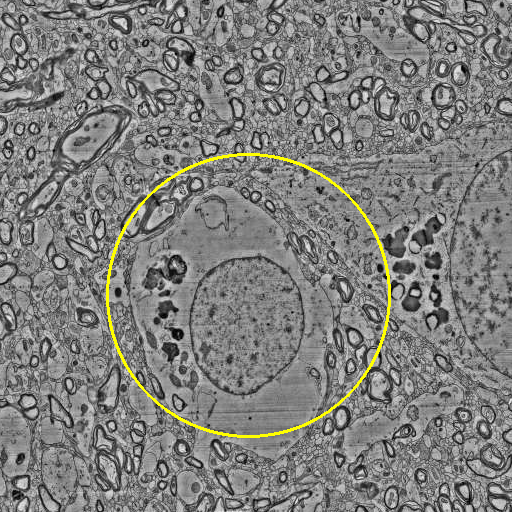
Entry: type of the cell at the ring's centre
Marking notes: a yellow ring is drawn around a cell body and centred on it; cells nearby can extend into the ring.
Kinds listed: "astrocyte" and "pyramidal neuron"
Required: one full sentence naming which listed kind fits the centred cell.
My entry names an astrocyte as the cell whose body the yellow ring centres on.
